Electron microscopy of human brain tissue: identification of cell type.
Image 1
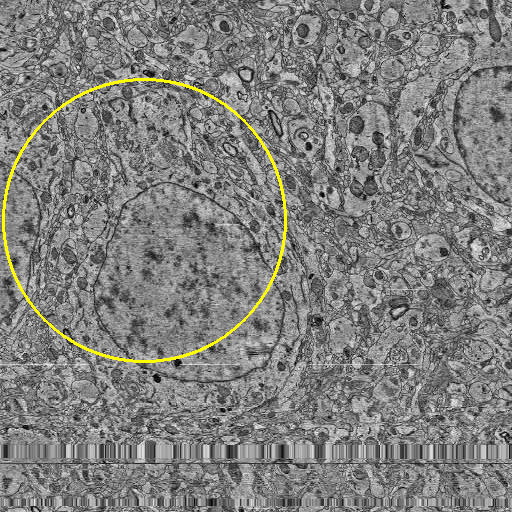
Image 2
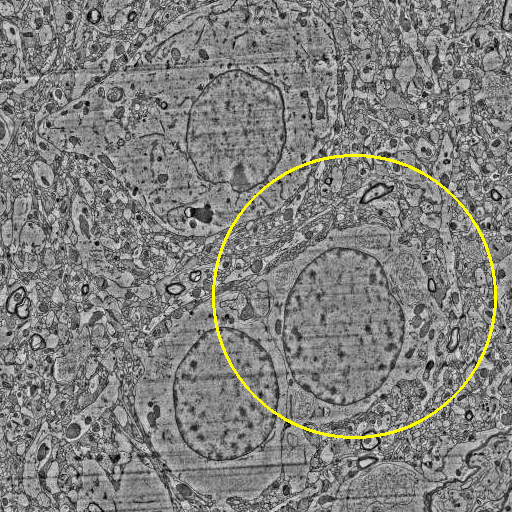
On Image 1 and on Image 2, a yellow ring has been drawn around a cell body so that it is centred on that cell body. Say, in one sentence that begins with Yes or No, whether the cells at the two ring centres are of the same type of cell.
No, the two cells are two separate types of cell.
